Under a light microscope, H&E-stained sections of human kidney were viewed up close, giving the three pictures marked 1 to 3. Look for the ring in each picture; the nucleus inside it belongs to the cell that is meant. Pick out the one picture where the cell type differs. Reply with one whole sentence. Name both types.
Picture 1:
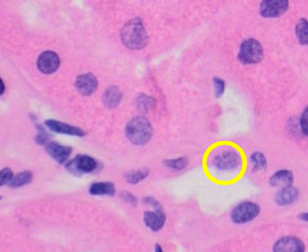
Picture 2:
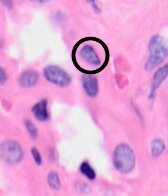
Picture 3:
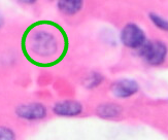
The others show collecting duct cells, but picture 3 shows a “loop of Henle or distal tubule cell”.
